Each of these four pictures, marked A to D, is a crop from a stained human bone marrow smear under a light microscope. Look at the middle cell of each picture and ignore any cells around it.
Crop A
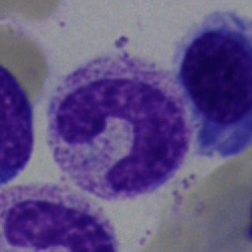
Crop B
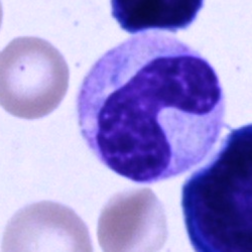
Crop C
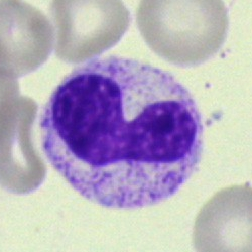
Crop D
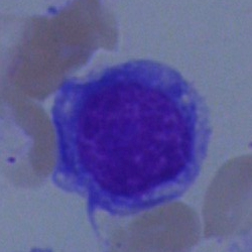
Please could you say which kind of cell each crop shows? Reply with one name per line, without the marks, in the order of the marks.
band neutrophil
band neutrophil
band neutrophil
normoblast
